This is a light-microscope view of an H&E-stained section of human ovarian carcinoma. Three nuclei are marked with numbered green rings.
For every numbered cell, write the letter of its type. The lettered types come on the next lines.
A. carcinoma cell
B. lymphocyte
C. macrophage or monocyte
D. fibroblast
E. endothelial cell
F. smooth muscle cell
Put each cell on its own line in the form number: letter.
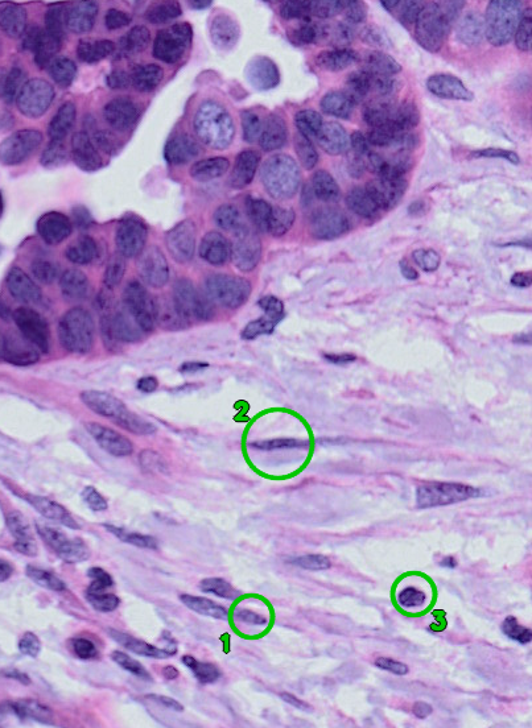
1: D
2: D
3: B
